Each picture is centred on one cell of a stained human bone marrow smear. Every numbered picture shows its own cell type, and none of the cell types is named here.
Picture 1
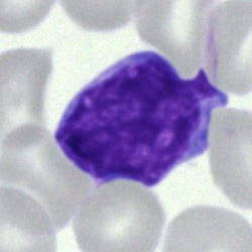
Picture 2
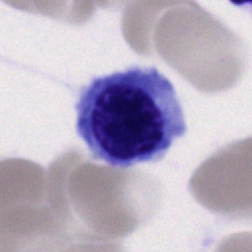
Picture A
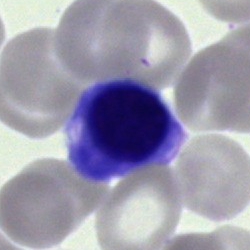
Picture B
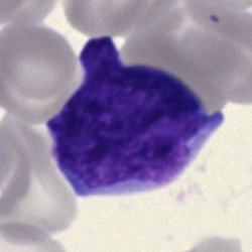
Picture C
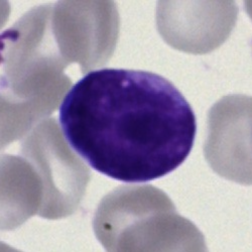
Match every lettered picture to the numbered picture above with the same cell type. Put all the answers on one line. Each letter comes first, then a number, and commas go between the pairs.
A 2, B 1, C 1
